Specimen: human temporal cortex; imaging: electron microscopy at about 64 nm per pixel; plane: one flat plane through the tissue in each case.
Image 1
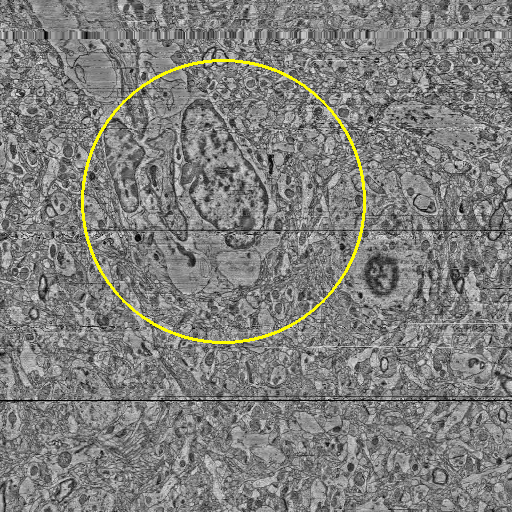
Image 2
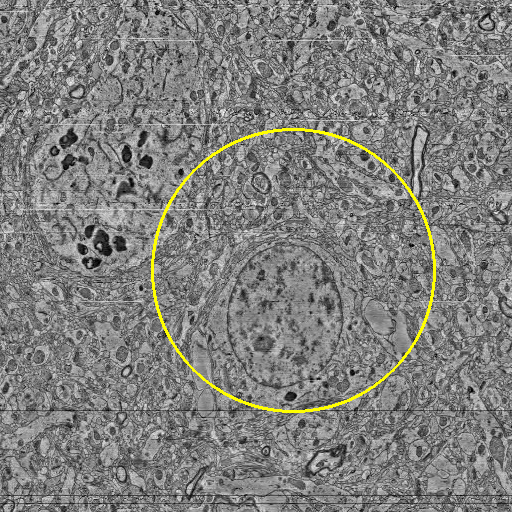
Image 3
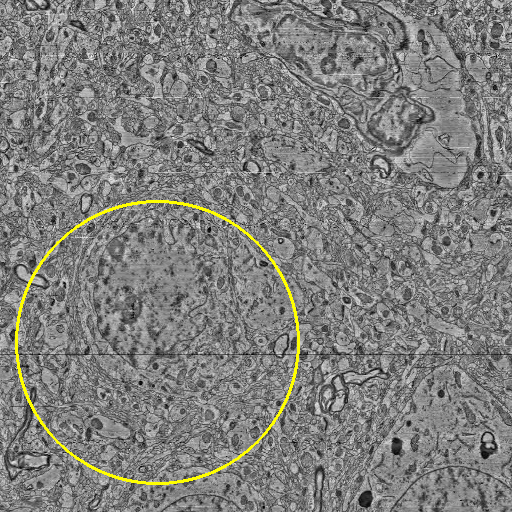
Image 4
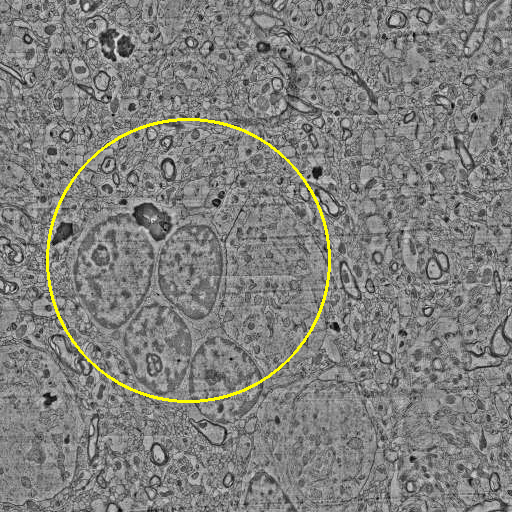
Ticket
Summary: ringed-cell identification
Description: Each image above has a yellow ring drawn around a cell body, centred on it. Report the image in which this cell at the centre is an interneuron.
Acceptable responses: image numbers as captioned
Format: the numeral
3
